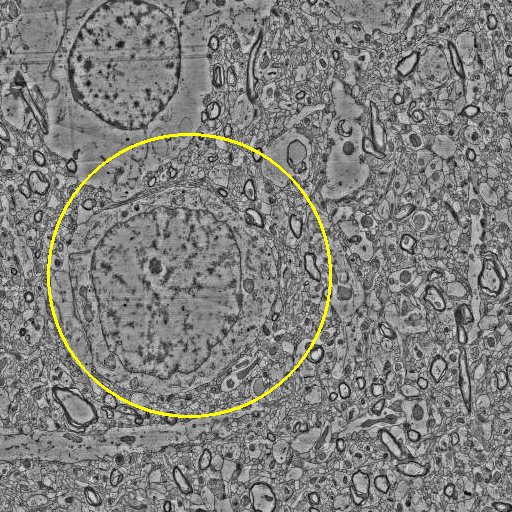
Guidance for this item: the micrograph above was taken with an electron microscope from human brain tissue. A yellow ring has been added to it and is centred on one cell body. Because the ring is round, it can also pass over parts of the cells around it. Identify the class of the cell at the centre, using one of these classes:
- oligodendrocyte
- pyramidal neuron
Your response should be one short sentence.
The ring surrounds the body of a pyramidal neuron.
